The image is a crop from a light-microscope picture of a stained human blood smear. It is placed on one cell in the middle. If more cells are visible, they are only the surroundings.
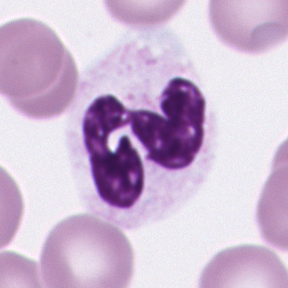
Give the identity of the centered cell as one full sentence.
The cell sitting right in the middle is a segmented neutrophil.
